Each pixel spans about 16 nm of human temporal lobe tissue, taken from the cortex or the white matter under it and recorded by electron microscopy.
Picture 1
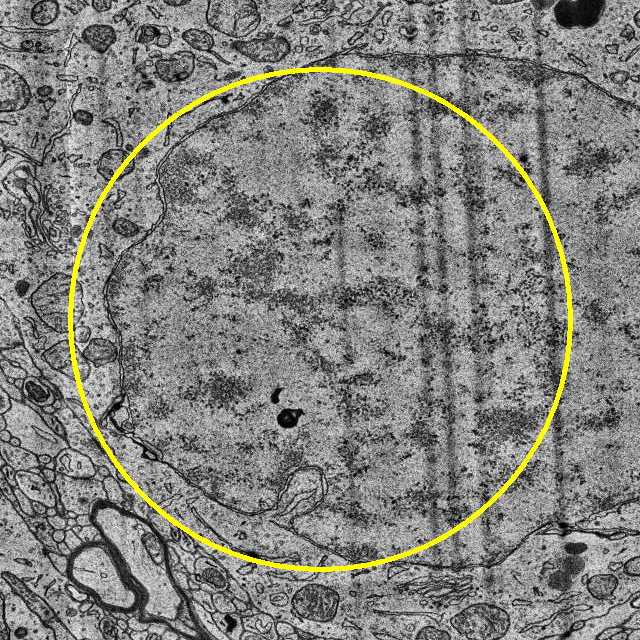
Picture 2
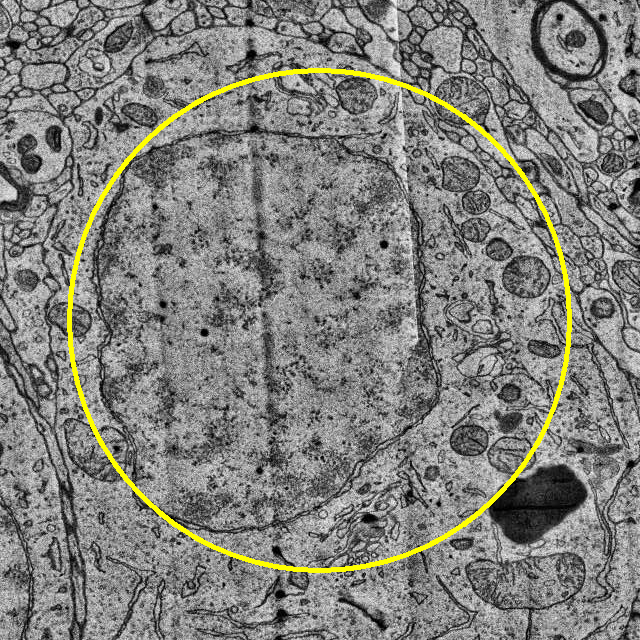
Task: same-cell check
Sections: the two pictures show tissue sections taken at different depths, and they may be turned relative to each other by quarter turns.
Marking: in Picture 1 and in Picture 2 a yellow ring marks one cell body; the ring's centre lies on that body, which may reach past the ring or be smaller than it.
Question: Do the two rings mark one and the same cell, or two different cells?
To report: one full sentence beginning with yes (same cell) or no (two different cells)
Yes, one cell is ringed in yellow twice over.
